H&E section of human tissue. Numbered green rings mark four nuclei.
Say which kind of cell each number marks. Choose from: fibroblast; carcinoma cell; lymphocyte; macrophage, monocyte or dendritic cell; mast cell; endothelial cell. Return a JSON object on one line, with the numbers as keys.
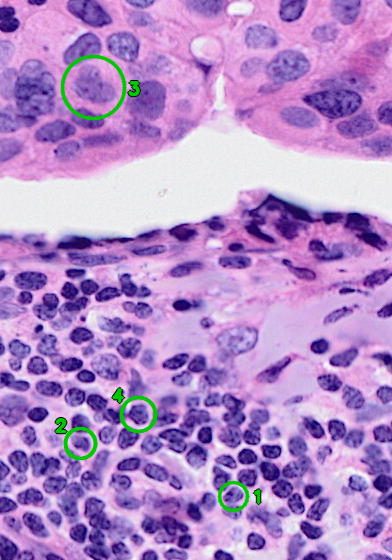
{"1": "lymphocyte", "2": "lymphocyte", "3": "carcinoma cell", "4": "lymphocyte"}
